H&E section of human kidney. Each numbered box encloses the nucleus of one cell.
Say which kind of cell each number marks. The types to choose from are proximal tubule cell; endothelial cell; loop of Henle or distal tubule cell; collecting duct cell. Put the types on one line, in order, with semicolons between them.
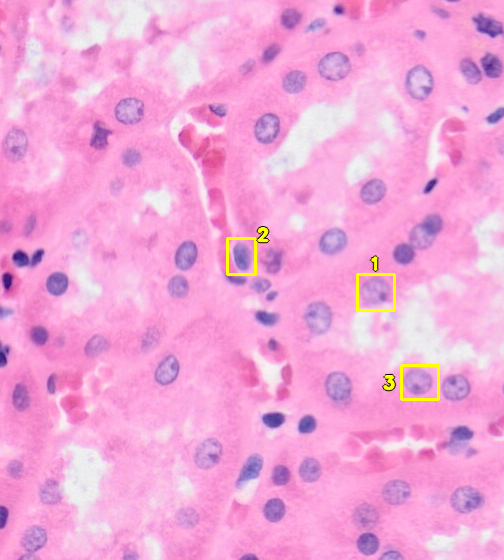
proximal tubule cell; endothelial cell; proximal tubule cell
